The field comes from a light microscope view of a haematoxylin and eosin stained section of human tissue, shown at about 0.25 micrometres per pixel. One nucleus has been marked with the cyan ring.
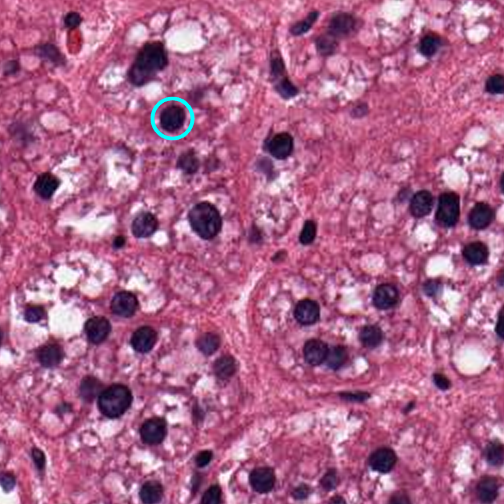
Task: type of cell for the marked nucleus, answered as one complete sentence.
It is an adrenal cortical cell whose nucleus is marked.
